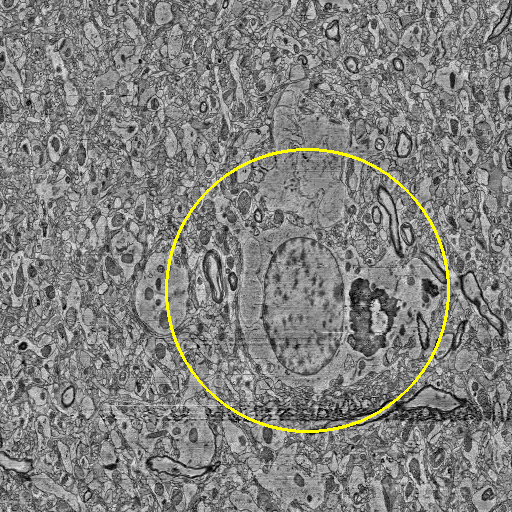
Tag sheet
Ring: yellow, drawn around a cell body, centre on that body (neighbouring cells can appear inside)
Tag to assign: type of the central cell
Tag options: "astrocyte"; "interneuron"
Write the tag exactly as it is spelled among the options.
astrocyte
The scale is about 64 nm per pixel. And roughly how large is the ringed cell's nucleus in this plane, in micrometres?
The nucleus is about 9 micrometres in length and 5 in width, clearly longer than it is wide in this plane.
